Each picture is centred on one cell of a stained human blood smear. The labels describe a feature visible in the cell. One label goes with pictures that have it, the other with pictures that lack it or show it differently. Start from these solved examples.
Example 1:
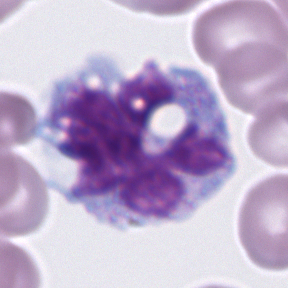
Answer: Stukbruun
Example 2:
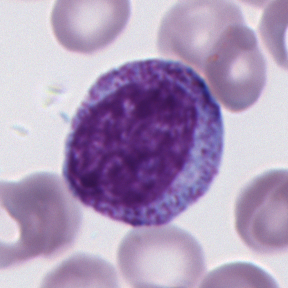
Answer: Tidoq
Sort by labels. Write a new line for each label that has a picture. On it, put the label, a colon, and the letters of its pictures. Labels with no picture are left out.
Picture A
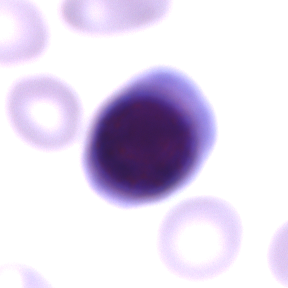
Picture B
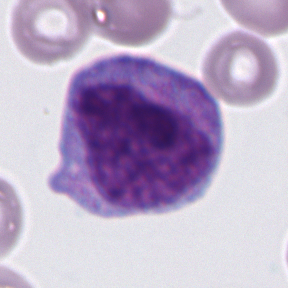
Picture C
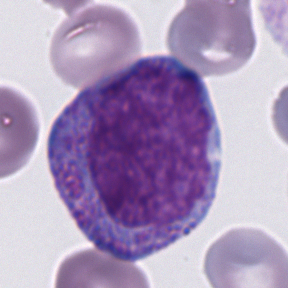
Stukbruun: B
Tidoq: A, C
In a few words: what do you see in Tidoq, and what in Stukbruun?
Seen in Tidoq: smooth outline; seen in Stukbruun: ragged outline or projections.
